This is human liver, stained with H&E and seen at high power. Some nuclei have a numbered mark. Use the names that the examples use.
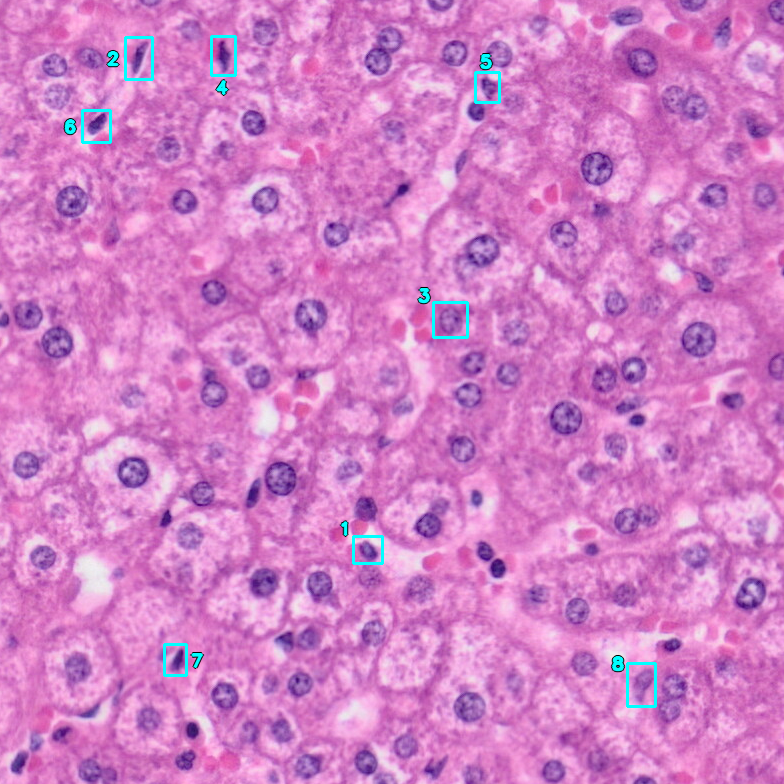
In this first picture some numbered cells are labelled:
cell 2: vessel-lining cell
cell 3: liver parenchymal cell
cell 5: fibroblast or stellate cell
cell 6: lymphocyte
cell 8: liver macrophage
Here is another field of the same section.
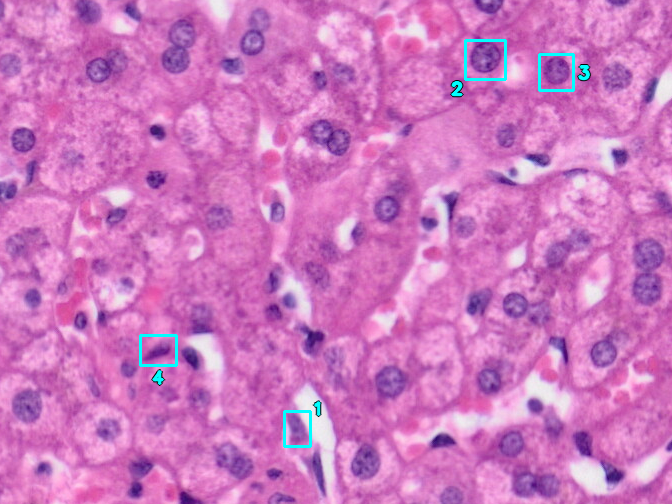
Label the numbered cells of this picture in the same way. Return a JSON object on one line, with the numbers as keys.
{"1": "liver macrophage", "2": "liver parenchymal cell", "3": "liver parenchymal cell", "4": "fibroblast or stellate cell"}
